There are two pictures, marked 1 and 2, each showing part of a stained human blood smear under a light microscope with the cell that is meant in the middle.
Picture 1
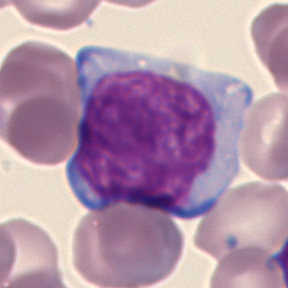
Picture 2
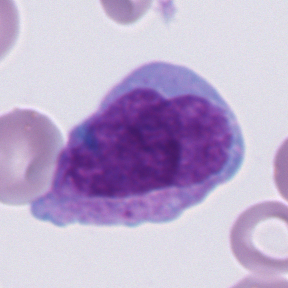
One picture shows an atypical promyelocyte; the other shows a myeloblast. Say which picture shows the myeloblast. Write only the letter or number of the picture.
1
